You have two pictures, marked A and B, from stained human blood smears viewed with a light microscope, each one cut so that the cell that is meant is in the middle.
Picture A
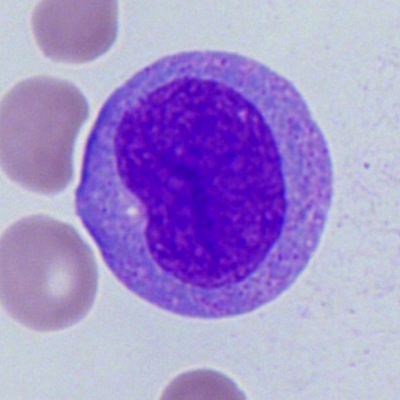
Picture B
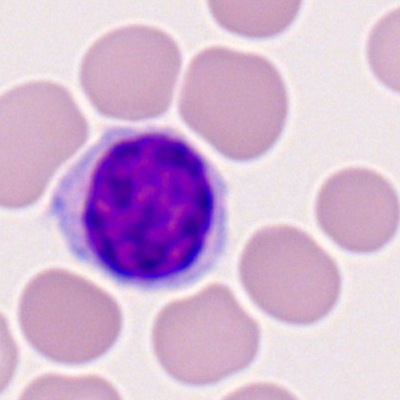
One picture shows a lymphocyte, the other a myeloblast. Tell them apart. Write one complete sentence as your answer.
Picture A shows a myeloblast and picture B shows a lymphocyte.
